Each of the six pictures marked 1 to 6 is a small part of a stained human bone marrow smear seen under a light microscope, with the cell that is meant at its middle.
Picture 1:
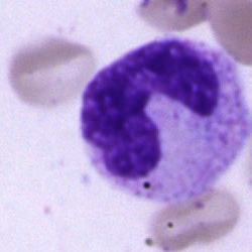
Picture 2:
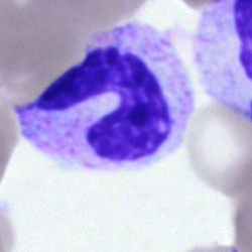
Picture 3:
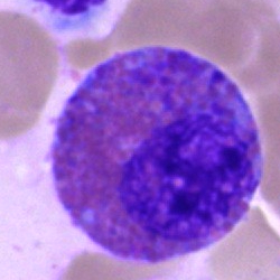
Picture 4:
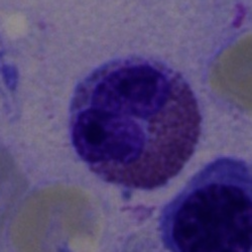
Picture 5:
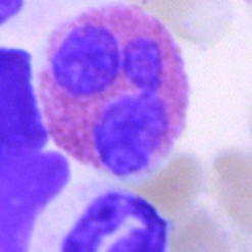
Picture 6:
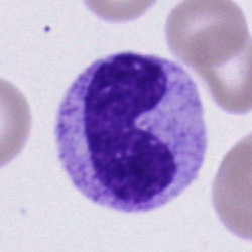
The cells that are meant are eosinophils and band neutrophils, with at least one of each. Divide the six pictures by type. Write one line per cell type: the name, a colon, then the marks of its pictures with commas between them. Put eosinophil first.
eosinophil: 3, 4, 5
band neutrophil: 1, 2, 6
